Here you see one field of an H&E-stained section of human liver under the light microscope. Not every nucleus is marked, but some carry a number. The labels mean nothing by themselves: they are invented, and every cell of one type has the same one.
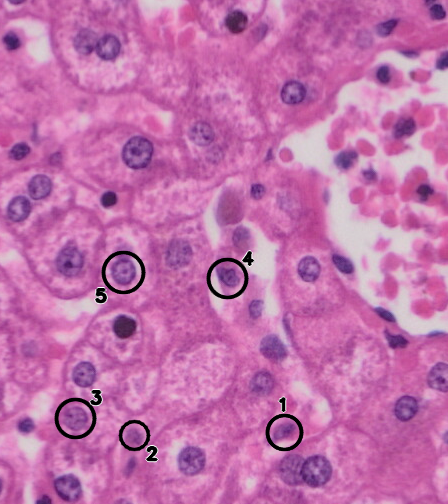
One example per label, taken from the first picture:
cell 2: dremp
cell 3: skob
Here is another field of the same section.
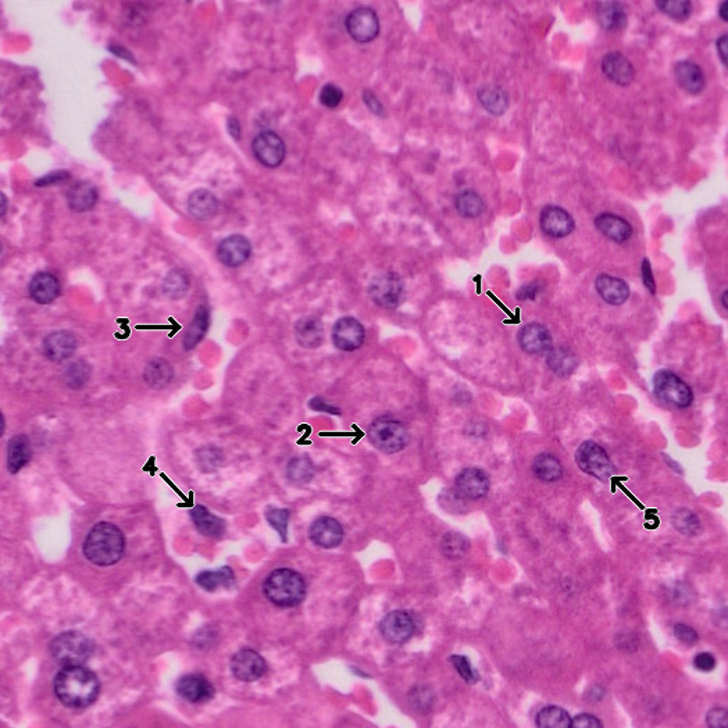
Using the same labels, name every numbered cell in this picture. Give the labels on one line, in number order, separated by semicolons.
skob; skob; dremp; dremp; skob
